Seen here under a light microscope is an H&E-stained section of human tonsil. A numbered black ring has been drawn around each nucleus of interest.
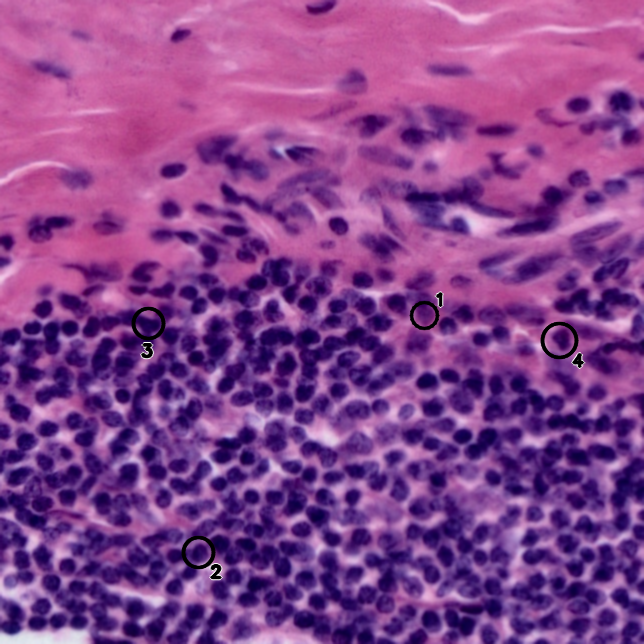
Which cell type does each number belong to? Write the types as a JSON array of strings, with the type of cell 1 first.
["endothelial cell", "small lymphocyte", "small lymphocyte", "endothelial cell"]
